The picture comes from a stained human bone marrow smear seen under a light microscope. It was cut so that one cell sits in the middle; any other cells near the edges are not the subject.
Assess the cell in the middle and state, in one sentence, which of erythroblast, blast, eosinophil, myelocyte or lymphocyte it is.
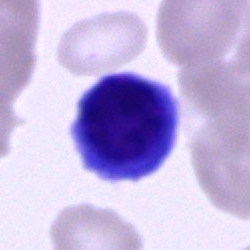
The crop centres on a single cell, and that cell is an erythroblast.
